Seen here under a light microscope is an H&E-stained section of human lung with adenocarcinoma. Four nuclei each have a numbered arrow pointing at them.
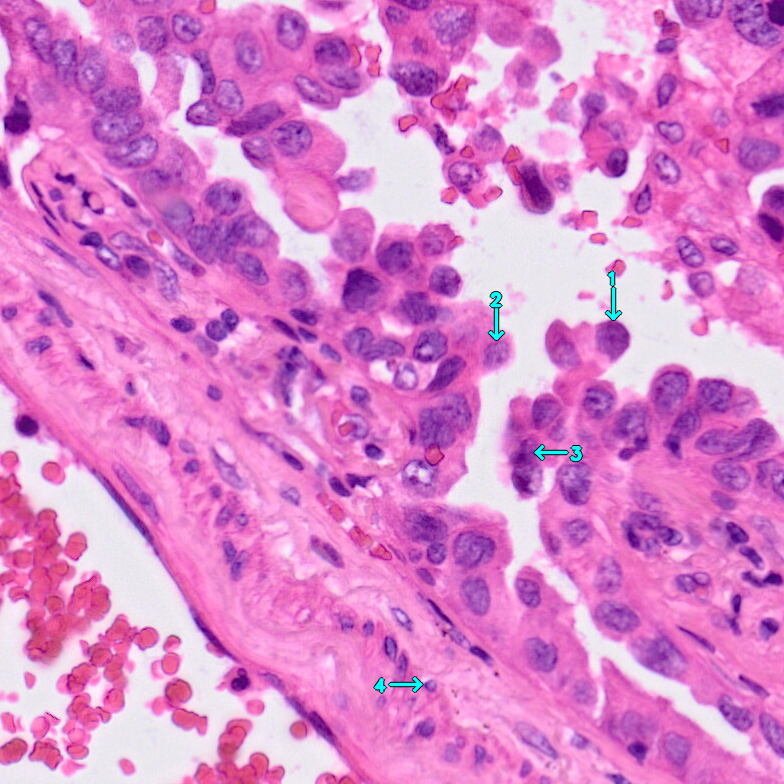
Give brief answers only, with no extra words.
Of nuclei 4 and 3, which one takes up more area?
3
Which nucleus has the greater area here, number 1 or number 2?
1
